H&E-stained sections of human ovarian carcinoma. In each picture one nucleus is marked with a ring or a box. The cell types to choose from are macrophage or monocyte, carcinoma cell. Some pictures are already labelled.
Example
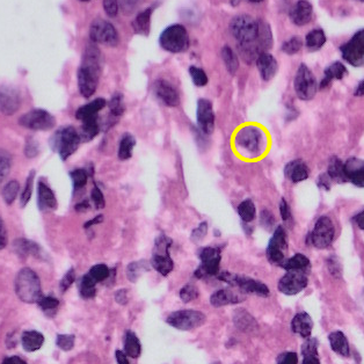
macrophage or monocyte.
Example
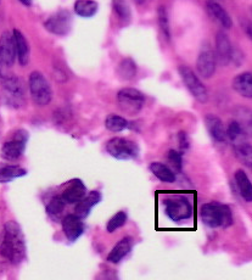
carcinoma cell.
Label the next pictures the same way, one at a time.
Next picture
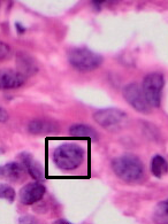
macrophage or monocyte.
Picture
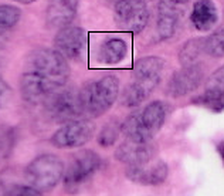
macrophage or monocyte.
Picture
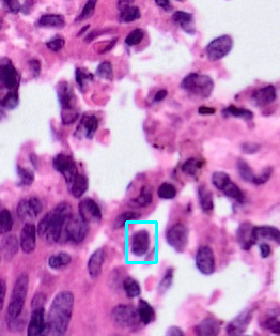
carcinoma cell.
